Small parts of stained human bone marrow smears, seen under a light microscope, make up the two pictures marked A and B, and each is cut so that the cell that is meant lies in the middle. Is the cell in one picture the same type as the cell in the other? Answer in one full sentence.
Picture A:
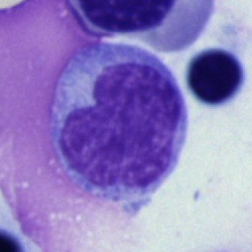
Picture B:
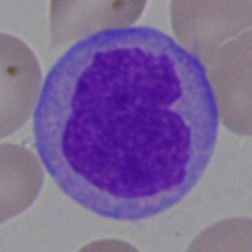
Yes; the cells in both pictures are monocytes.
